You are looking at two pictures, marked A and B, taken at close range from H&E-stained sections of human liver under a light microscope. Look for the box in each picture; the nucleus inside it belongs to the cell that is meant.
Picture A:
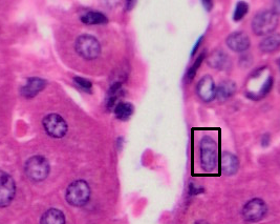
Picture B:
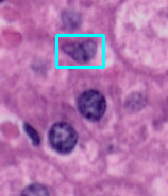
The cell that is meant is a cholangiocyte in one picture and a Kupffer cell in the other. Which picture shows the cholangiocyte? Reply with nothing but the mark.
A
